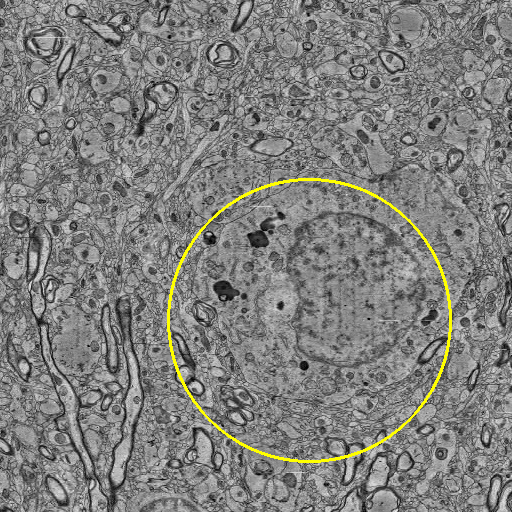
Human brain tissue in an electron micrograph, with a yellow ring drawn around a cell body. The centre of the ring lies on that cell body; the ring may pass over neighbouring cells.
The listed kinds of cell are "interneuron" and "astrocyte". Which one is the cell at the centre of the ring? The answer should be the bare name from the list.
interneuron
